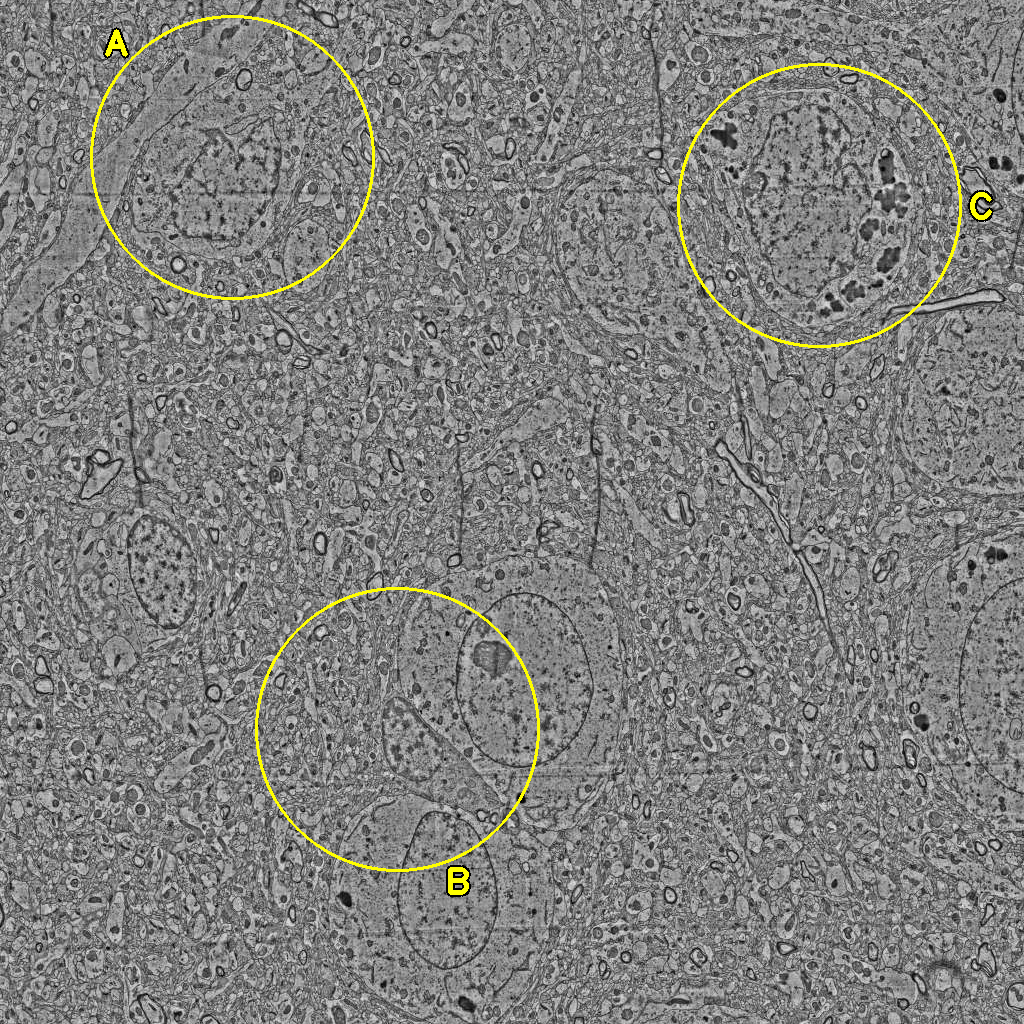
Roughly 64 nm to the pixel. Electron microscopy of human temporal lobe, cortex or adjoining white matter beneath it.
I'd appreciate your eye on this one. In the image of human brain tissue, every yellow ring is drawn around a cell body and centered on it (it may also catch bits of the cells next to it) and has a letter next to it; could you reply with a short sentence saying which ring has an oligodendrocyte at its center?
Ring B is centered on it.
